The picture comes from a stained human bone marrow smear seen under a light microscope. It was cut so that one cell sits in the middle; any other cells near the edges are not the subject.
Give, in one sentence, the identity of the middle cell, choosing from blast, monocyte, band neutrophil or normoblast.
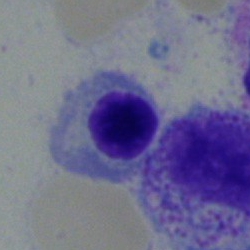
The cell featured at the centre of this crop is a normoblast.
